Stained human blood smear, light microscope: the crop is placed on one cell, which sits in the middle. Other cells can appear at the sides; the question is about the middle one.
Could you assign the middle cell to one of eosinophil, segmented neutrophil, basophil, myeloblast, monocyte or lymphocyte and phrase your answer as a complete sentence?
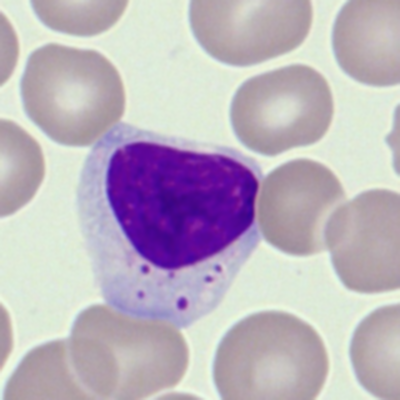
Whatever else lies nearby, the middle cell is a lymphocyte.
